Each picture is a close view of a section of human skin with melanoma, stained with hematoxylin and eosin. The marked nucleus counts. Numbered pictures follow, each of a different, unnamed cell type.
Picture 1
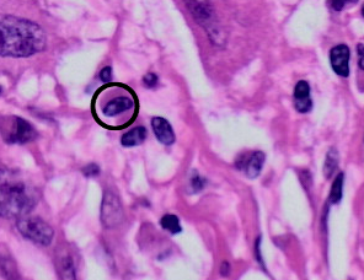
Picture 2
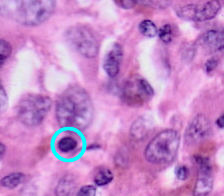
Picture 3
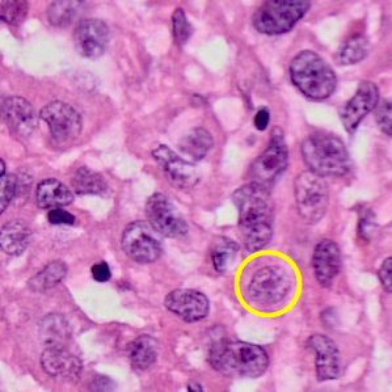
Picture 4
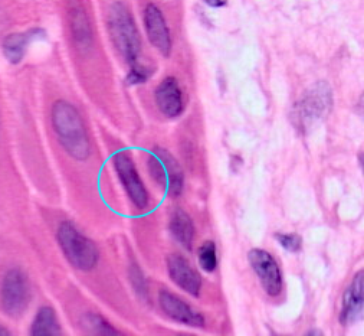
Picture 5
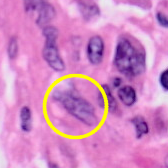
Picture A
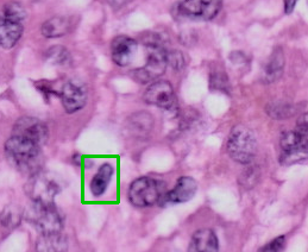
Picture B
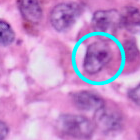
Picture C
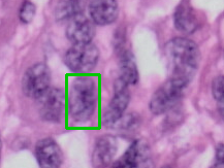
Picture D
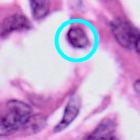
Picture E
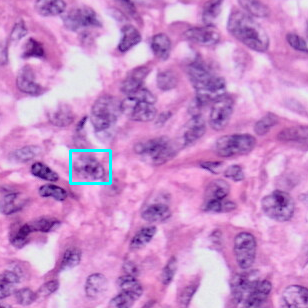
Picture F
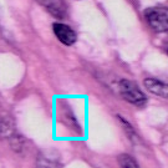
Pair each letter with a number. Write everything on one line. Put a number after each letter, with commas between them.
A 2, B 3, C 3, D 3, E 3, F 5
